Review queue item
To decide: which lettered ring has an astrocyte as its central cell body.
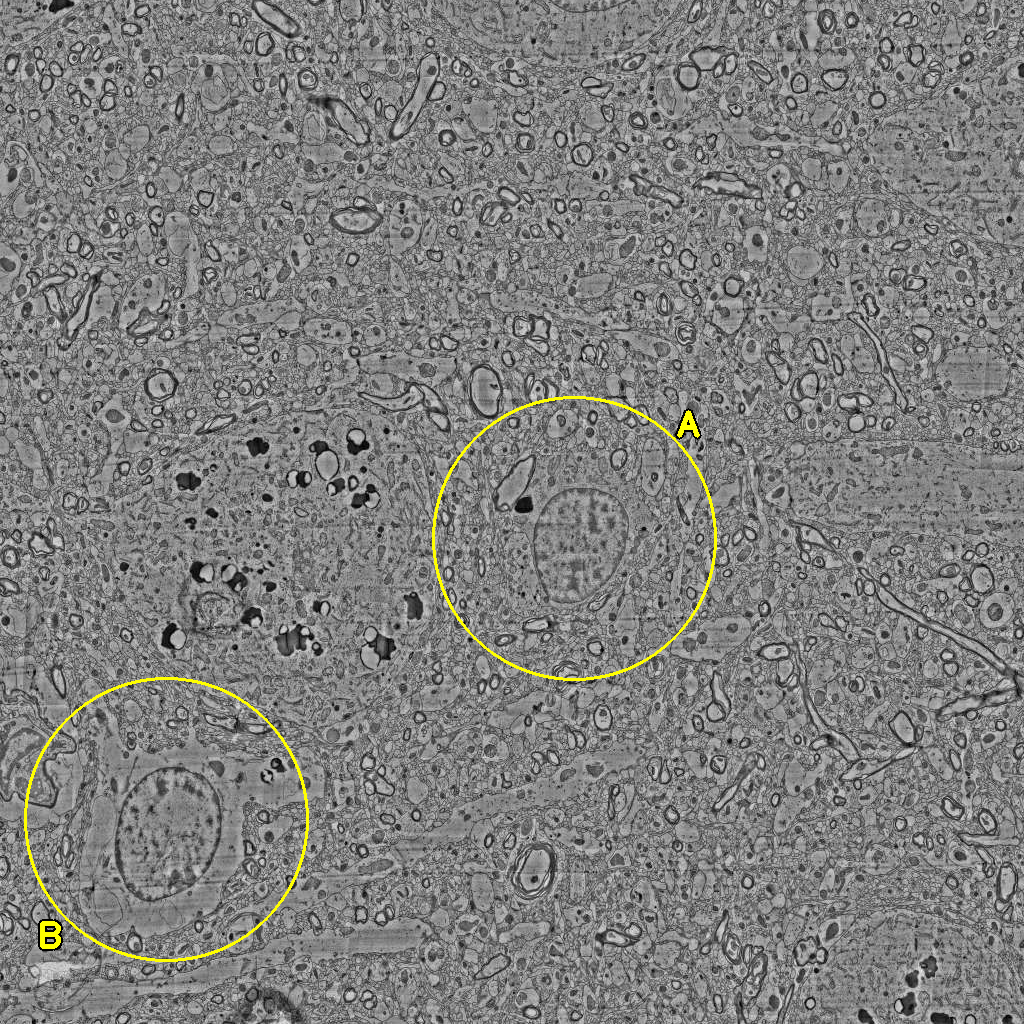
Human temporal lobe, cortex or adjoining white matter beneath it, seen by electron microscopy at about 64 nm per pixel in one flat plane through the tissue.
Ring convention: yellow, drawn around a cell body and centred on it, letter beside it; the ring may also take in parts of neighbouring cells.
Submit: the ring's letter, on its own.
B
